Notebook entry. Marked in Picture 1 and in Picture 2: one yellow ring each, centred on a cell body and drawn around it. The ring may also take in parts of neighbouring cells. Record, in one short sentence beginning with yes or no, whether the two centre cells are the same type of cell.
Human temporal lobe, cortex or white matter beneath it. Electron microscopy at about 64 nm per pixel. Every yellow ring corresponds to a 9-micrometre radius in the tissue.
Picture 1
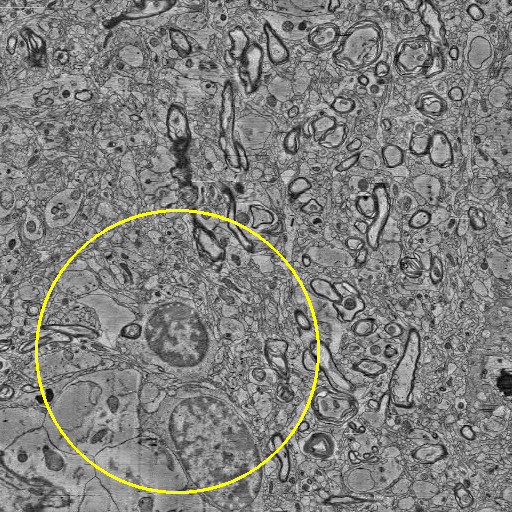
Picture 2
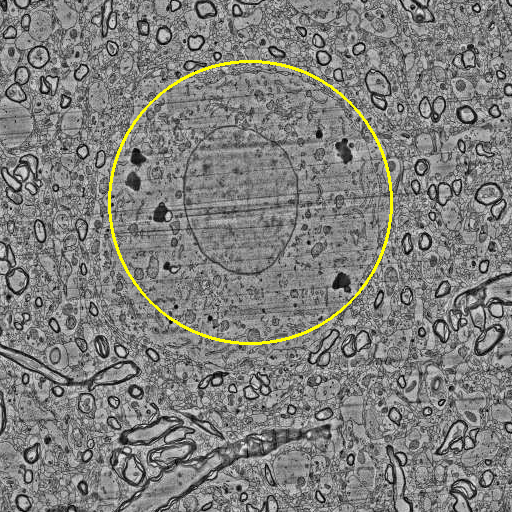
No, they are two types of cell.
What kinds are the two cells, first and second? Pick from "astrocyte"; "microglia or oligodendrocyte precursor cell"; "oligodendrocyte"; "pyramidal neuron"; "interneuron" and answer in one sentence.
The second picture holds a pyramidal neuron in its ring, and the first holds an oligodendrocyte.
